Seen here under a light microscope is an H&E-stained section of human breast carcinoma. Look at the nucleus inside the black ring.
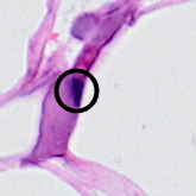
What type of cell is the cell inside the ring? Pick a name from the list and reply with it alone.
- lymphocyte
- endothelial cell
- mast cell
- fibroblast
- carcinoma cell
fibroblast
